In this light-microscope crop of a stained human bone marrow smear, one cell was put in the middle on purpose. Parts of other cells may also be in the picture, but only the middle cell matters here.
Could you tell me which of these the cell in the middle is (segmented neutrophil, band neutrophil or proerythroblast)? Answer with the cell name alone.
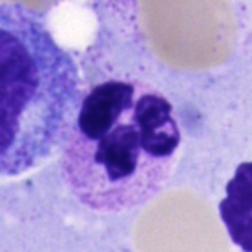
segmented neutrophil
